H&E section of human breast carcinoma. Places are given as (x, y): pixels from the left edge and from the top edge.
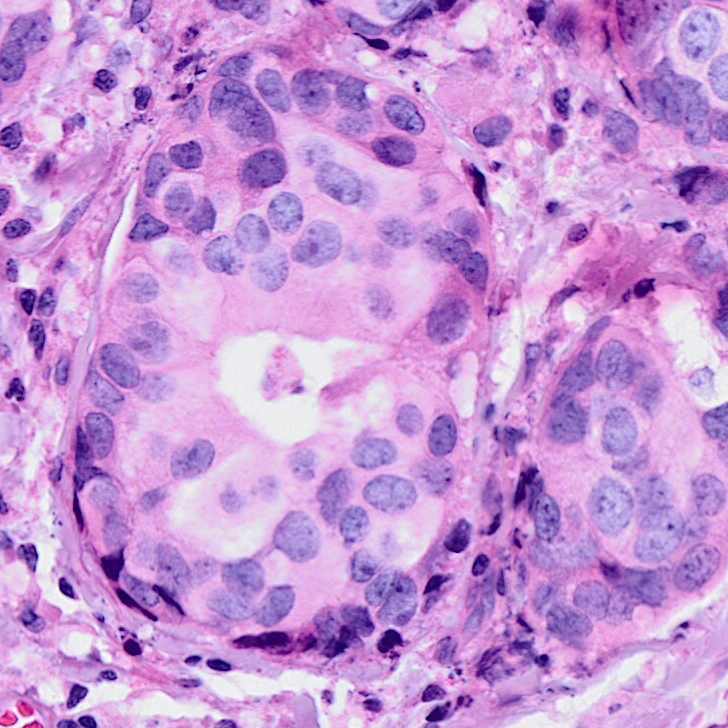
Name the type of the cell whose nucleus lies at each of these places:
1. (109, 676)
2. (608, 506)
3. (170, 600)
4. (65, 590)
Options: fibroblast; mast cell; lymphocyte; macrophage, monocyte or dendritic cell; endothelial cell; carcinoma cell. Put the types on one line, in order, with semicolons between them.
lymphocyte; carcinoma cell; carcinoma cell; lymphocyte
